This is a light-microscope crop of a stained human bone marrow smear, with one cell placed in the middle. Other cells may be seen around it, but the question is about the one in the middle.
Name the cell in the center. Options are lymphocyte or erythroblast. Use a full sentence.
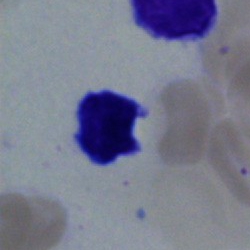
The cell occupying the middle of the crop is a lymphocyte.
